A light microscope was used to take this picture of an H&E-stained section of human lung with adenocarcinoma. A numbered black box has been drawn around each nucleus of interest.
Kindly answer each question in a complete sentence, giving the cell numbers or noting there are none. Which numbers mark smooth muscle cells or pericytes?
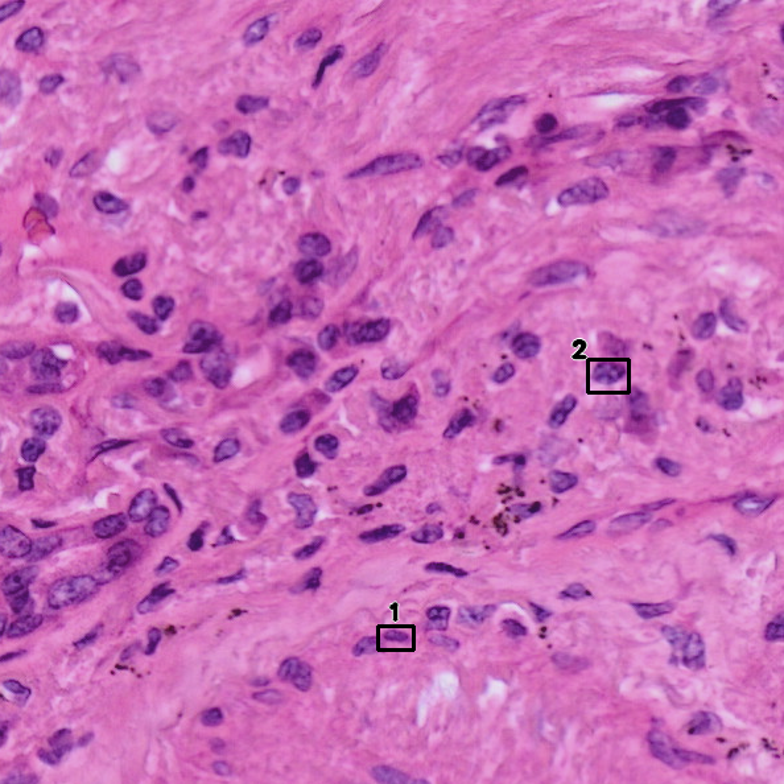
Cell 1 is the one numbered cell that is a smooth muscle cell or pericyte.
